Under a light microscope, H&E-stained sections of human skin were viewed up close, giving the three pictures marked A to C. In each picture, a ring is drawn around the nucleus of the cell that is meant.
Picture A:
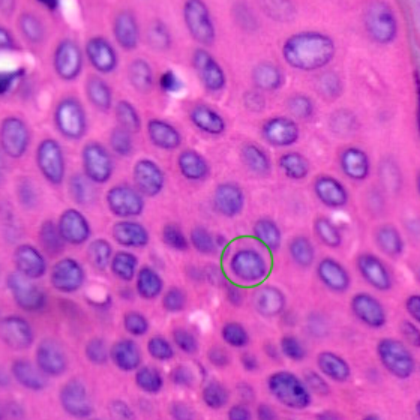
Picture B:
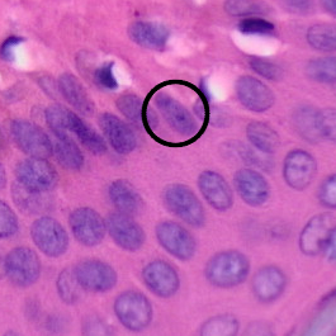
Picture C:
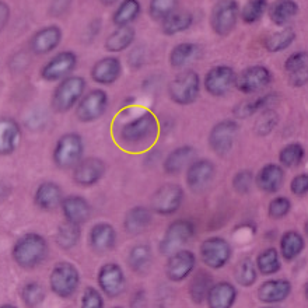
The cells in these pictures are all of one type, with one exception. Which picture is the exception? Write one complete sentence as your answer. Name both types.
Picture B is the odd one out: it shows a basal keratinocyte, while the others show suprabasal keratinocytes.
